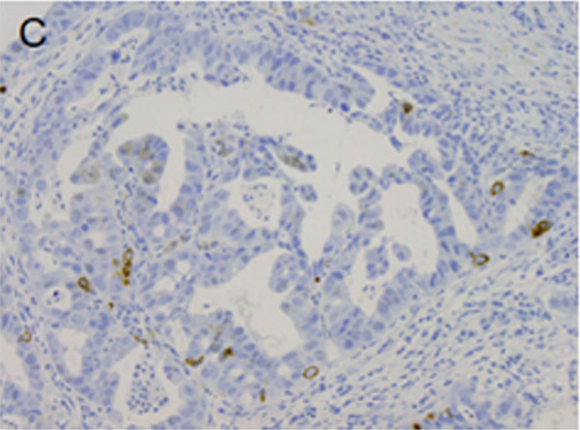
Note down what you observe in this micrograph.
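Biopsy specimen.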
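The section shows the same gland-forming epithelium, branching around pale lumens, with blue counterstained oval nuclei and a surrounding stroma of spindle cells. Most epithelial cells are unstained. A minority of single cells scattered within the epithelium and at the bases of the glands show brown cytoplasmic staining; these positive cells lie singly or in small groups and are rounded or ring-like in outline. The stroma is largely unstained apart from a few small brown dots. The staining is thus focal rather than diffuse across the epithelium.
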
